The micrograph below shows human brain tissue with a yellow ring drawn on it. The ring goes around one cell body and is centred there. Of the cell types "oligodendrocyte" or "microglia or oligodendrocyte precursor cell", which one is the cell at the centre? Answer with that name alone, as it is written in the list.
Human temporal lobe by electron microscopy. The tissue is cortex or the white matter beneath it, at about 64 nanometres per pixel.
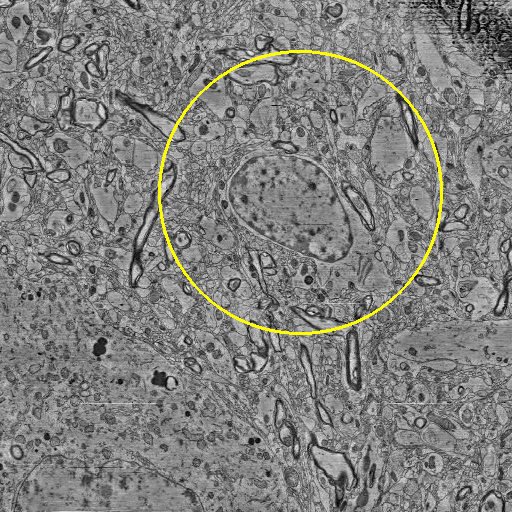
microglia or oligodendrocyte precursor cell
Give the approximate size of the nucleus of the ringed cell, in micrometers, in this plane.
About 9 by 6 micrometres in this plane; clearly longer than it is wide.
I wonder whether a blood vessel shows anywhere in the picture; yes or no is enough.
No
